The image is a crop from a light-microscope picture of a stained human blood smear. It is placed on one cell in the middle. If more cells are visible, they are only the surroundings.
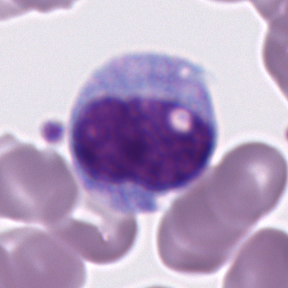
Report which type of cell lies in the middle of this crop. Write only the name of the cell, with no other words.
monocyte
